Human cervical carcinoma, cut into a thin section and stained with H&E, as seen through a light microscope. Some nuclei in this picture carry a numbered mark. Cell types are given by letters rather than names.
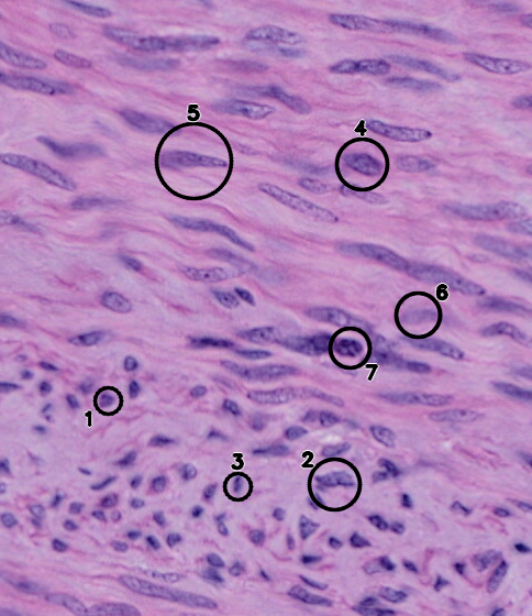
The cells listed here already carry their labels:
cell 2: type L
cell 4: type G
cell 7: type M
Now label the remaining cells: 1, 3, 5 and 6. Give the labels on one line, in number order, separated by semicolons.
type G; type L; type G; type G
